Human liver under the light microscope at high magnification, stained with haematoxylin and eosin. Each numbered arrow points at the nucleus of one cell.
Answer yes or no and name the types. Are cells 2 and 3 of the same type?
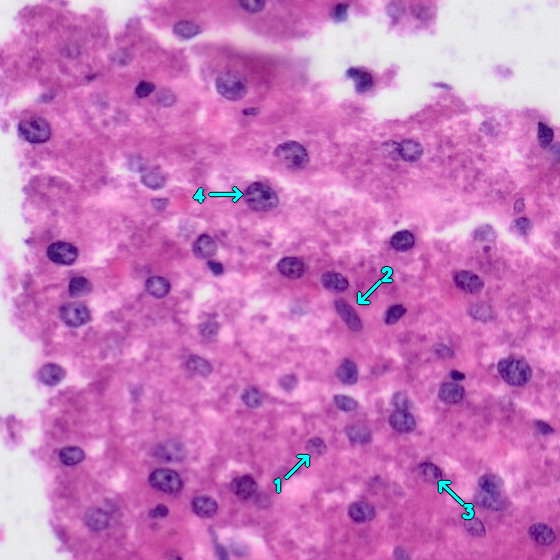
No, cell 2 is a Kupffer cell and cell 3 is a hepatocyte.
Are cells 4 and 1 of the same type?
Yes, both are hepatocytes.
